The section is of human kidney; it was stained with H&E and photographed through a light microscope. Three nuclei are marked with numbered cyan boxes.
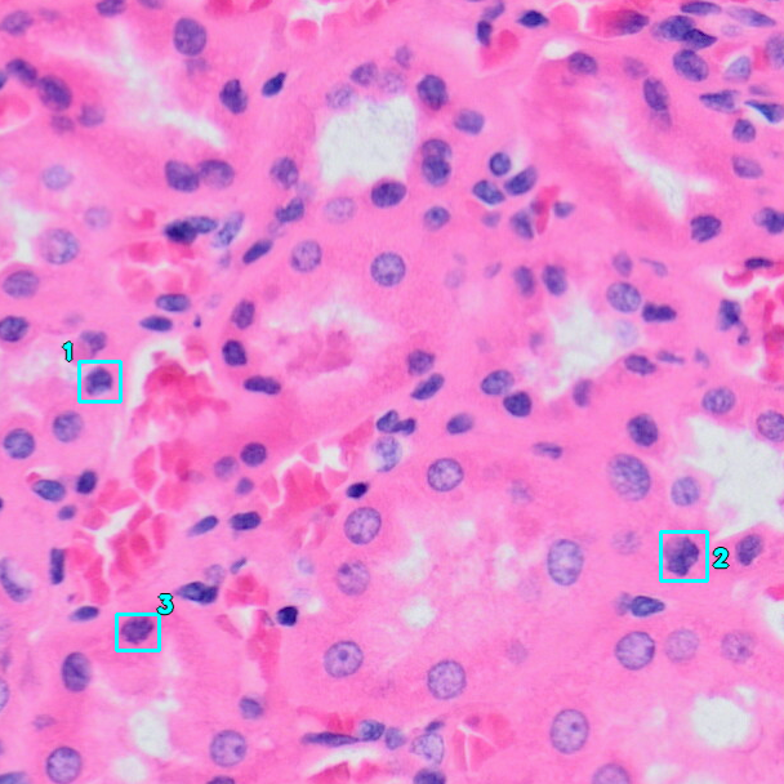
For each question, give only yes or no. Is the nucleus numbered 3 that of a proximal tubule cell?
yes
